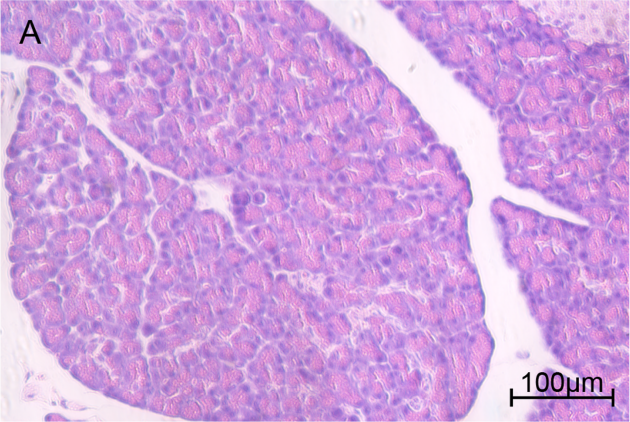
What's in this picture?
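This is exocrine pancreatic tissue made of tightly packed acini of acinar cells. The acinar cells are pyramidal, with pink-staining apical cytoplasm and round purple nuclei set toward the base of each cell. The acini lie close together with almost no space between them, forming a solid, compact lobule. Thin, pale connective tissue septa run between lobules, and a narrow clear band separates this lobule from its neighbour.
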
